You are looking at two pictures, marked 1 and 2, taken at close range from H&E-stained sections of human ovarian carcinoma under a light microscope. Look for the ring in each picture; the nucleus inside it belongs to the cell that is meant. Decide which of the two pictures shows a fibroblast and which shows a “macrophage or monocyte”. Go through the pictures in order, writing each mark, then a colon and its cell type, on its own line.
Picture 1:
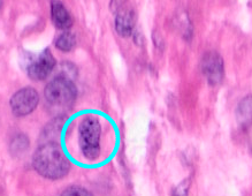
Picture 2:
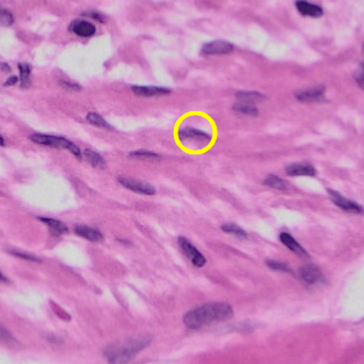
1: macrophage or monocyte
2: fibroblast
